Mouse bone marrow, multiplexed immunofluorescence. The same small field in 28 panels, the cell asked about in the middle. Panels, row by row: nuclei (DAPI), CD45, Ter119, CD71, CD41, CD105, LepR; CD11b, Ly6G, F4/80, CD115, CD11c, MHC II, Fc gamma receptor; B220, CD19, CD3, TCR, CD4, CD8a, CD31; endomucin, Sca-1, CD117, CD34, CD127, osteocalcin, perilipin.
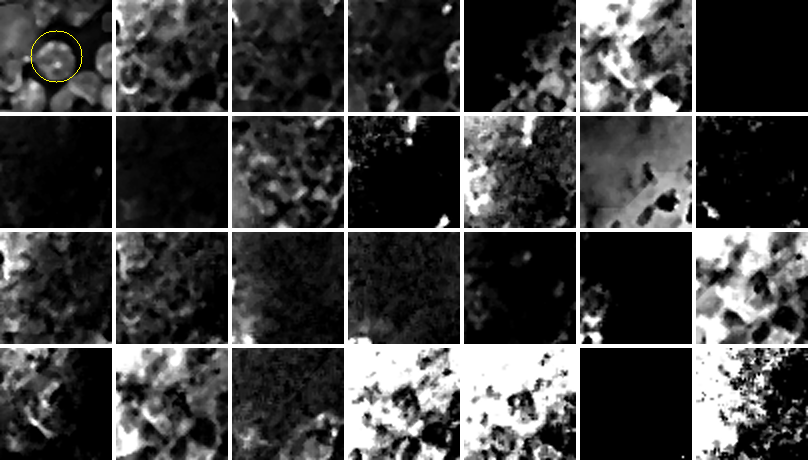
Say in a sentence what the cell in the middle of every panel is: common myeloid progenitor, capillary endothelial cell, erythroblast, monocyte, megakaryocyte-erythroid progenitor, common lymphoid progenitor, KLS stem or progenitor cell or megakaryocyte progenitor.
This is a capillary endothelial cell.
